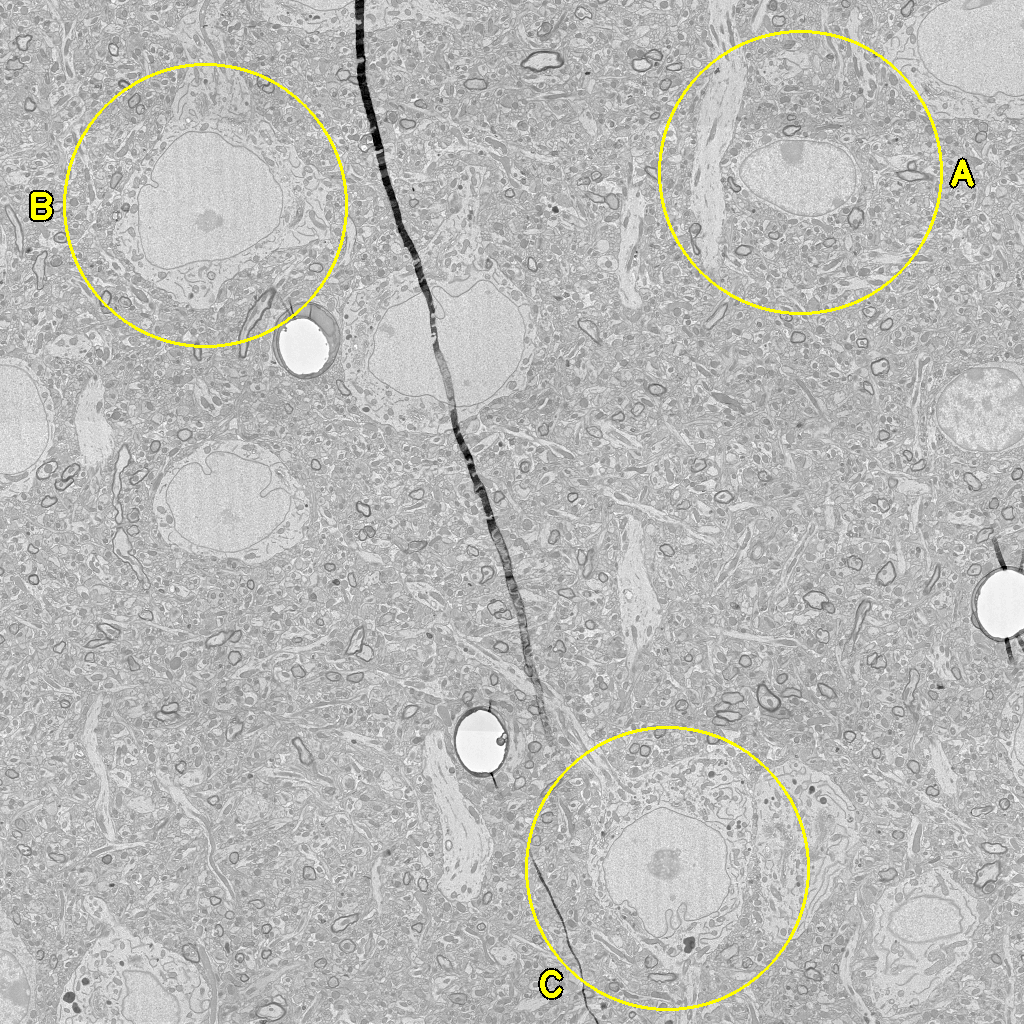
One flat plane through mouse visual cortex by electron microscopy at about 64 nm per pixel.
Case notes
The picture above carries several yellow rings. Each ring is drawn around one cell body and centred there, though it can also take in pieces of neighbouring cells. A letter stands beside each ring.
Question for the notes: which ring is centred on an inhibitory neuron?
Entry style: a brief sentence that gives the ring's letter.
Ring C is centred on it.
